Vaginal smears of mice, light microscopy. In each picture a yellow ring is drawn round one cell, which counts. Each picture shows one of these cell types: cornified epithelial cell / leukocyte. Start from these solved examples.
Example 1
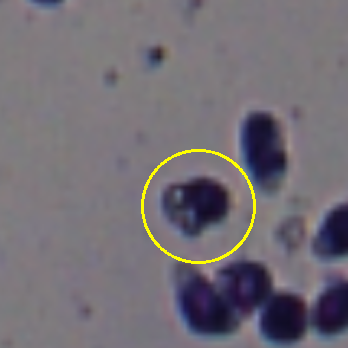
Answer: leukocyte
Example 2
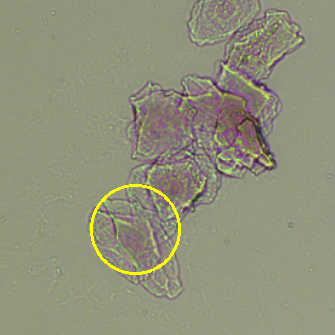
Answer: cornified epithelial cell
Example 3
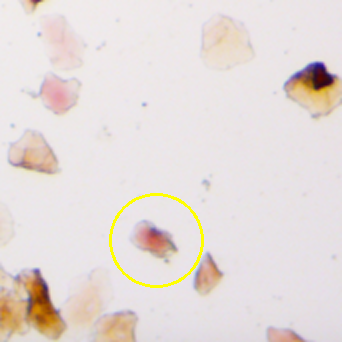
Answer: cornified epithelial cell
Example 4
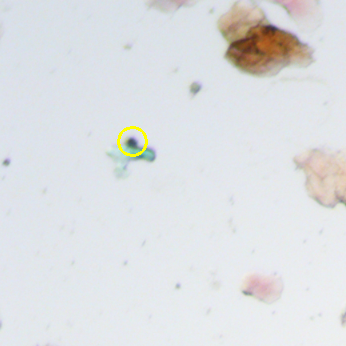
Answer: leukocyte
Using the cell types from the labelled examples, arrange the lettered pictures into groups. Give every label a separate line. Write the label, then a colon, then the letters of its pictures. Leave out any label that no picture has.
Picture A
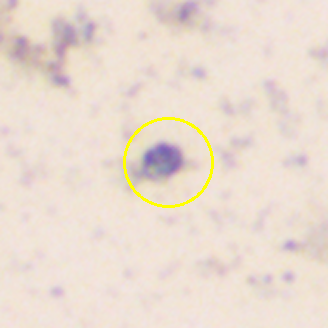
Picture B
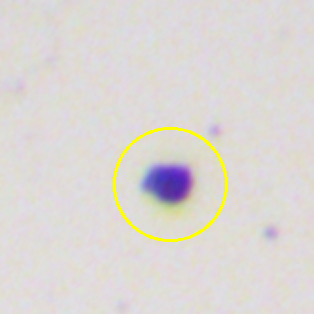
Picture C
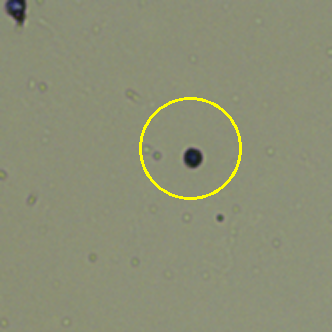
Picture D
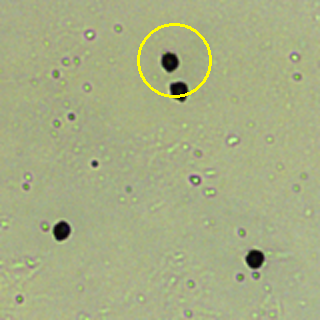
leukocyte: A, B, C, D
